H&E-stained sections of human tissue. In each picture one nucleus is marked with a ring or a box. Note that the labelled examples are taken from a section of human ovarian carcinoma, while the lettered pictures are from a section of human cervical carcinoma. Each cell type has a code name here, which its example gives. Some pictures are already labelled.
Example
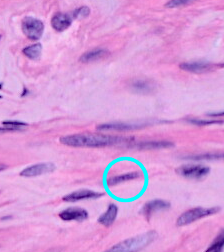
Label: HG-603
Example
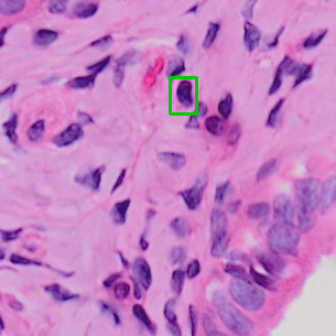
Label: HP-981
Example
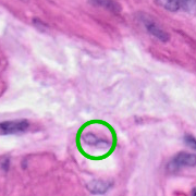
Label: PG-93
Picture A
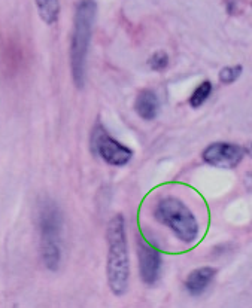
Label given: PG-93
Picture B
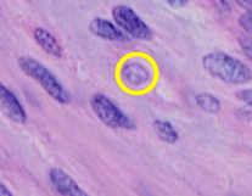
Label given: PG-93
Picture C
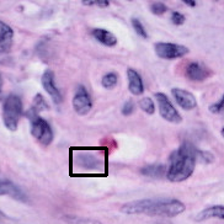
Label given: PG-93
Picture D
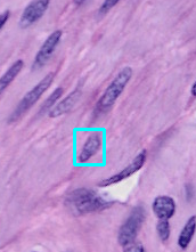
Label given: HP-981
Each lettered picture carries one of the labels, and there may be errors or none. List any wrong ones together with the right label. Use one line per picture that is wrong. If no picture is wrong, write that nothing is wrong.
D: not HP-981 but HG-603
